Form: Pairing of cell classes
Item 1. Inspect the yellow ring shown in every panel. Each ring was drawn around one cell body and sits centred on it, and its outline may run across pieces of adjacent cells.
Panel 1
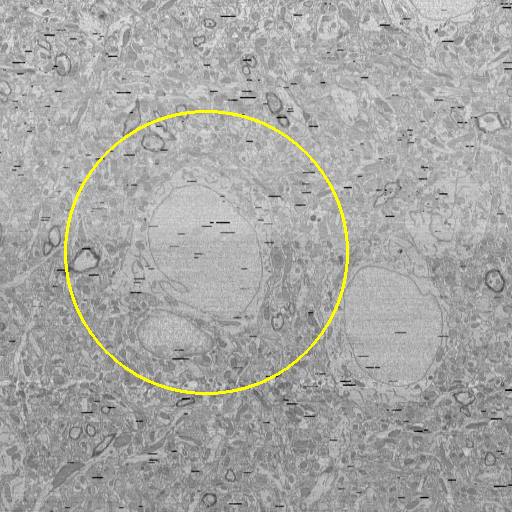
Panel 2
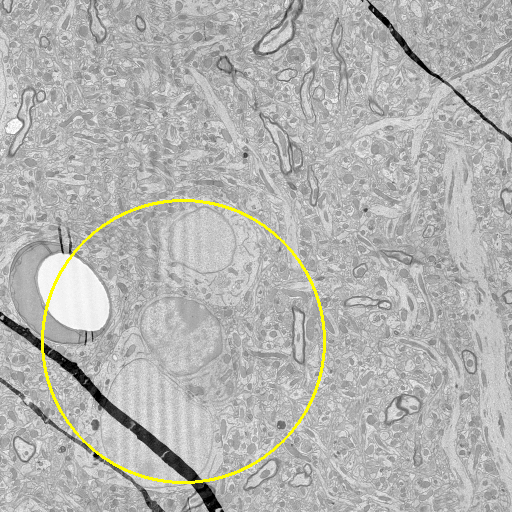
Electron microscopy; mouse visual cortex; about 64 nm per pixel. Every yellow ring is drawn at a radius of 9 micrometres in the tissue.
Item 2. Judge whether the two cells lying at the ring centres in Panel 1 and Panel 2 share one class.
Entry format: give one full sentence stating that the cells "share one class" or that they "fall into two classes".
The cells at the ring centres in Panel 1 and Panel 2 fall into two classes.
